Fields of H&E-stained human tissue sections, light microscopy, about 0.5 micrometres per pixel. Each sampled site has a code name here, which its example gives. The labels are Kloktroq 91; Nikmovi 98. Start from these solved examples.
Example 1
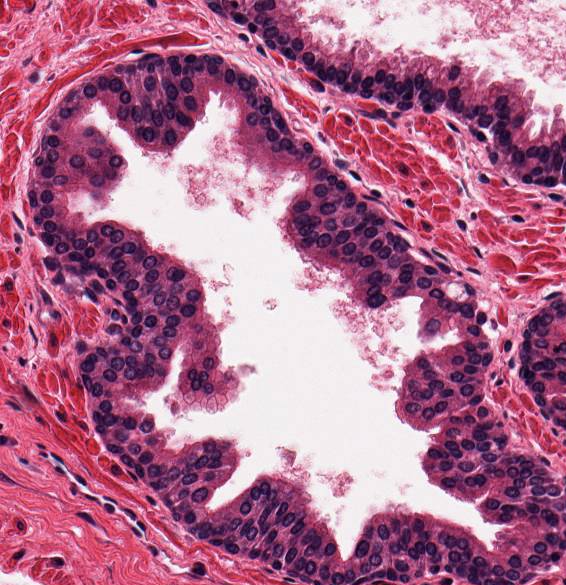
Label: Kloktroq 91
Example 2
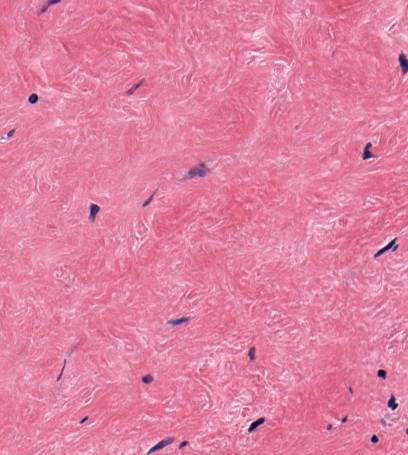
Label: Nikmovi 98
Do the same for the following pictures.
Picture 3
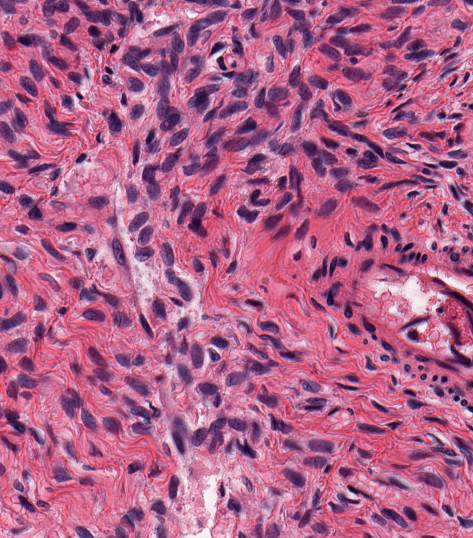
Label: Nikmovi 98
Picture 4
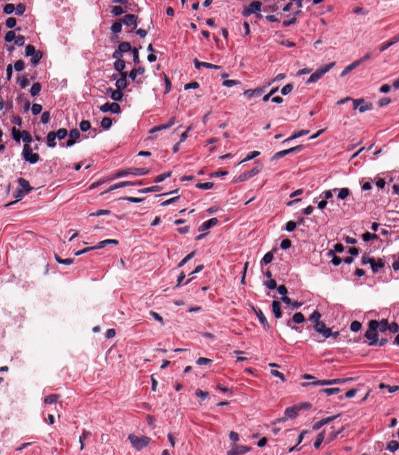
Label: Kloktroq 91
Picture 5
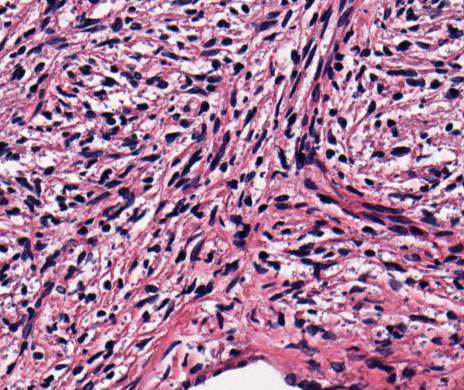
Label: Nikmovi 98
